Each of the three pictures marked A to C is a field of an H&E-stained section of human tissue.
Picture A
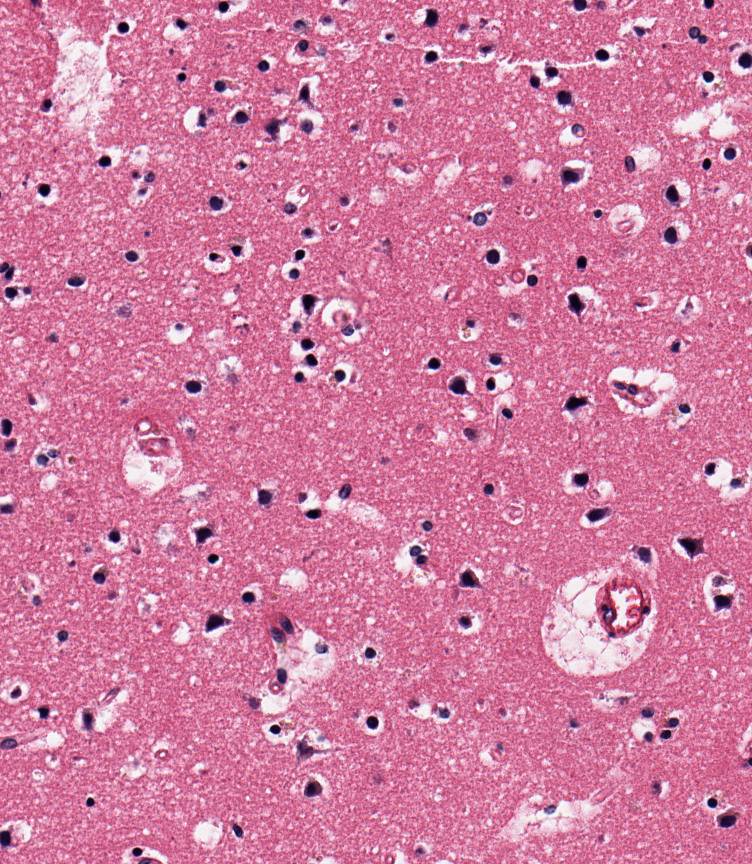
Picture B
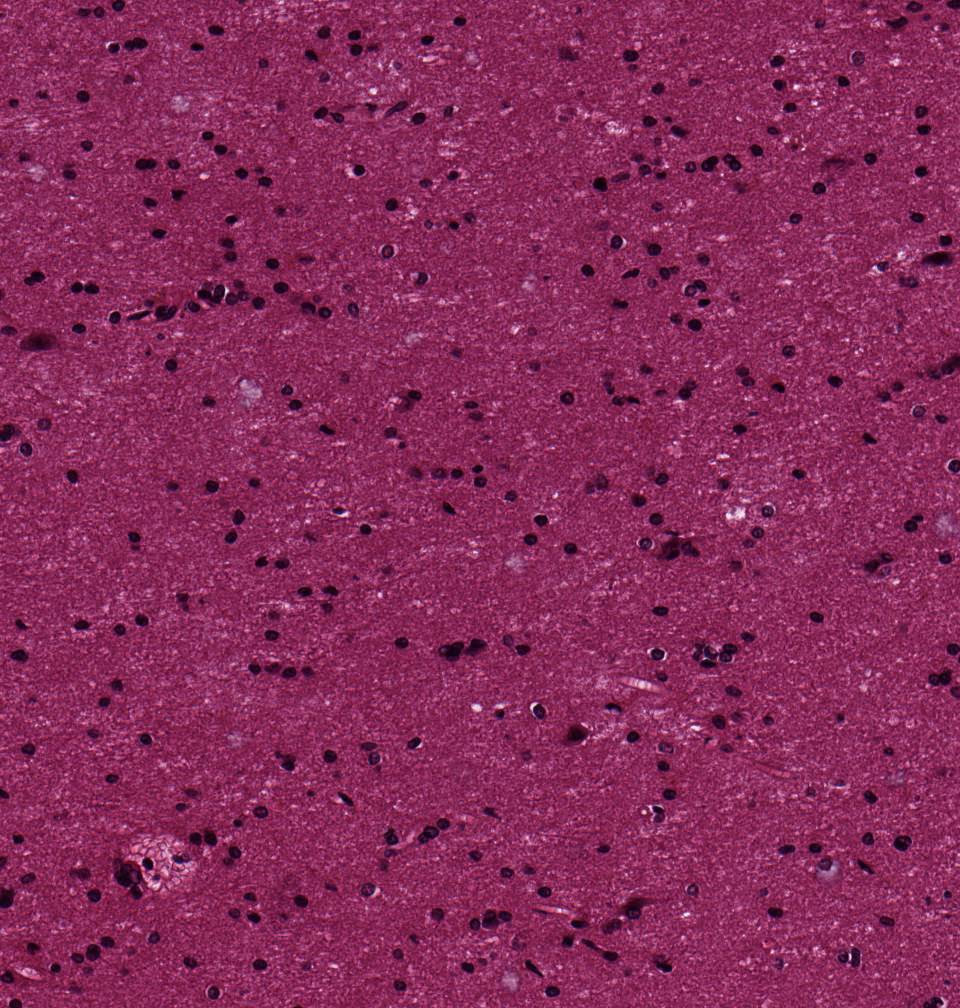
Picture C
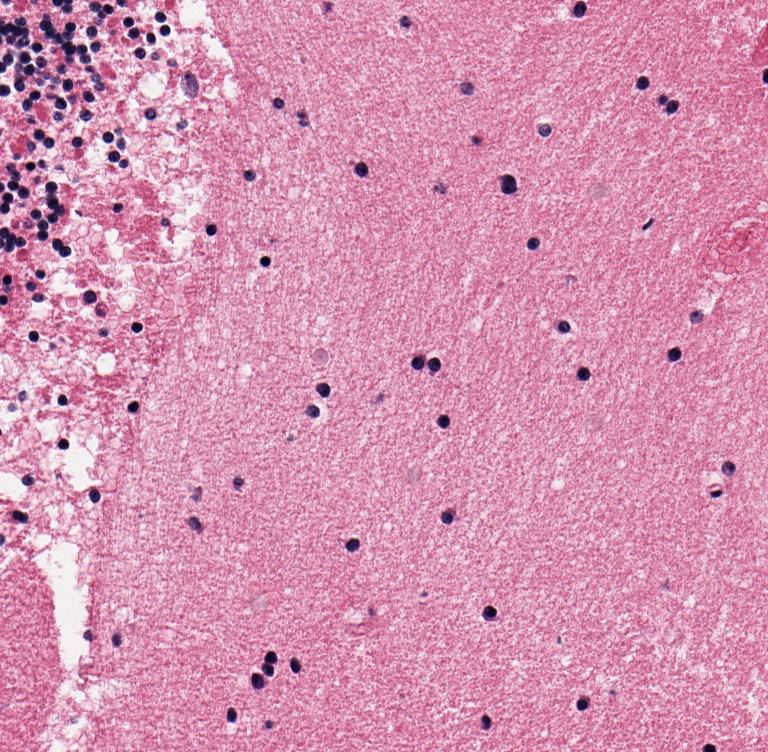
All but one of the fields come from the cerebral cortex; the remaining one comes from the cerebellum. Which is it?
C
